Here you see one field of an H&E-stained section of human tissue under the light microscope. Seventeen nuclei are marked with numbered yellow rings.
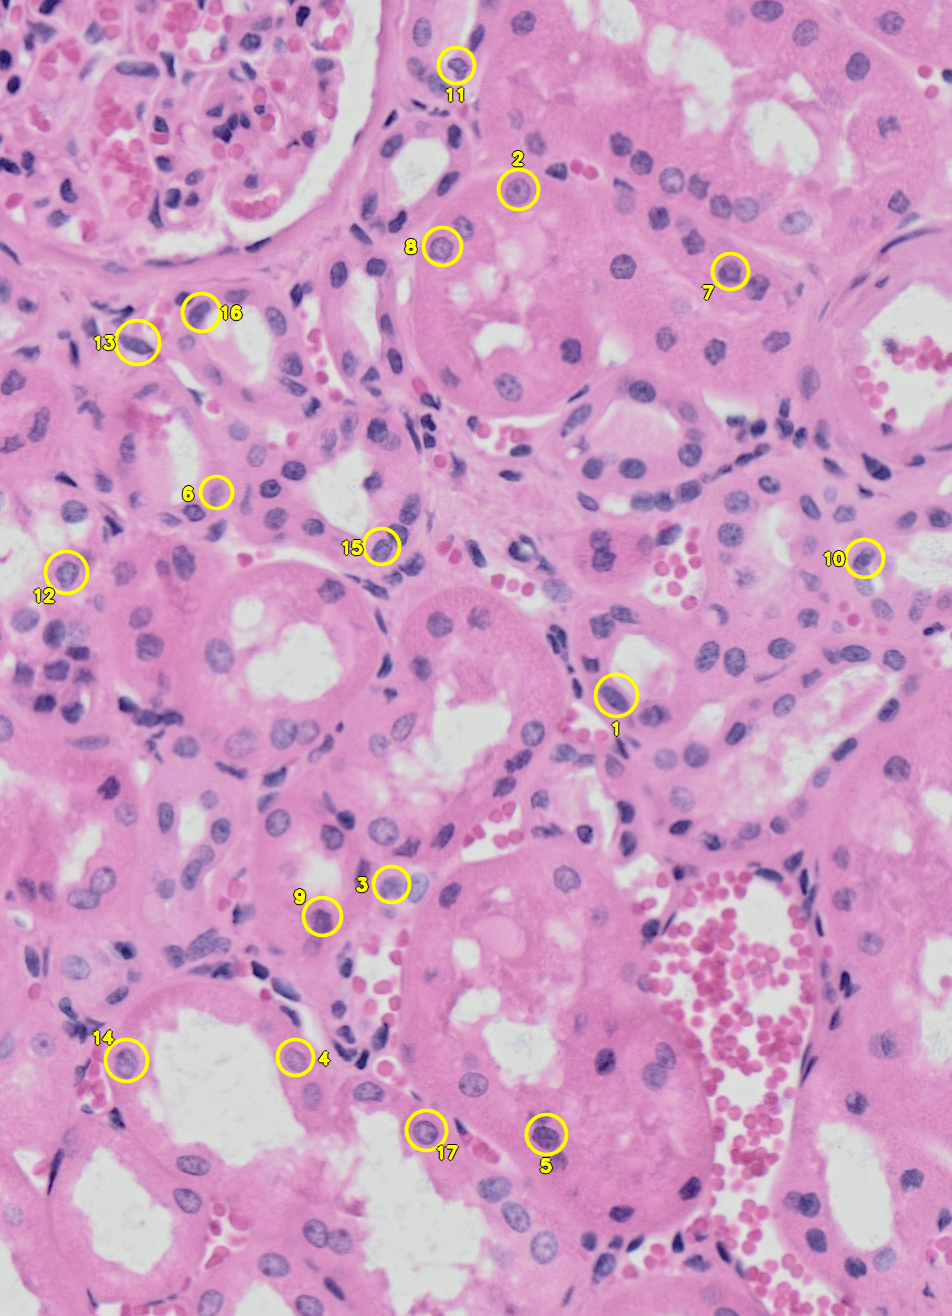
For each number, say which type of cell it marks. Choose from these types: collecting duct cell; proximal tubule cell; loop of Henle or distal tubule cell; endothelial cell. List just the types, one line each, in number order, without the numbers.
collecting duct cell
proximal tubule cell
collecting duct cell
proximal tubule cell
proximal tubule cell
collecting duct cell
proximal tubule cell
proximal tubule cell
proximal tubule cell
collecting duct cell
collecting duct cell
collecting duct cell
endothelial cell
proximal tubule cell
collecting duct cell
collecting duct cell
proximal tubule cell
